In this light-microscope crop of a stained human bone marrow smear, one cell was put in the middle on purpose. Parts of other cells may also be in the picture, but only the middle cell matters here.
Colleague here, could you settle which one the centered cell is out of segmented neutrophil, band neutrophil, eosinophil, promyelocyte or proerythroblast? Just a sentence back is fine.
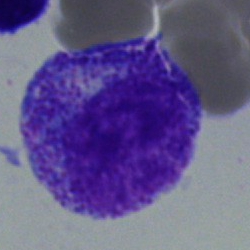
At the center of the crop sits a promyelocyte.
